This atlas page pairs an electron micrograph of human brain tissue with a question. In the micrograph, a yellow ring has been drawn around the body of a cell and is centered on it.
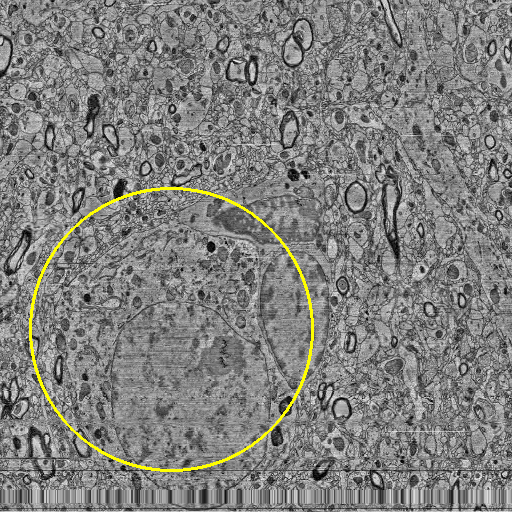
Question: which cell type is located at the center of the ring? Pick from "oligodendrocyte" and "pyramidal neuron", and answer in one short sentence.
Located at the center of the ring is a pyramidal neuron.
